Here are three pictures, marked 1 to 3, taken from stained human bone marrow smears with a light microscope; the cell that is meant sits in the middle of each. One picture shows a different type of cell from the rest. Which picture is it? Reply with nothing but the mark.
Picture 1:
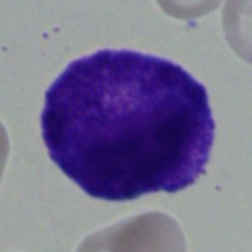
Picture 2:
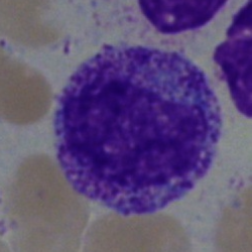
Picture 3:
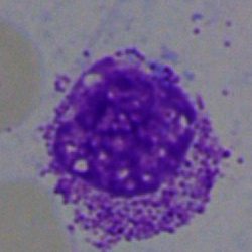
1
